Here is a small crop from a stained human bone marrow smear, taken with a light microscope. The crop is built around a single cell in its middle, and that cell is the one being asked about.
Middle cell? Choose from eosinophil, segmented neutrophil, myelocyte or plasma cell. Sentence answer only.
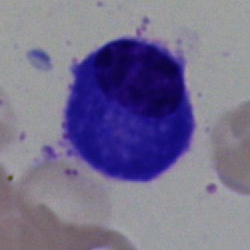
Of the cells in this crop, the central one is a plasma cell.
